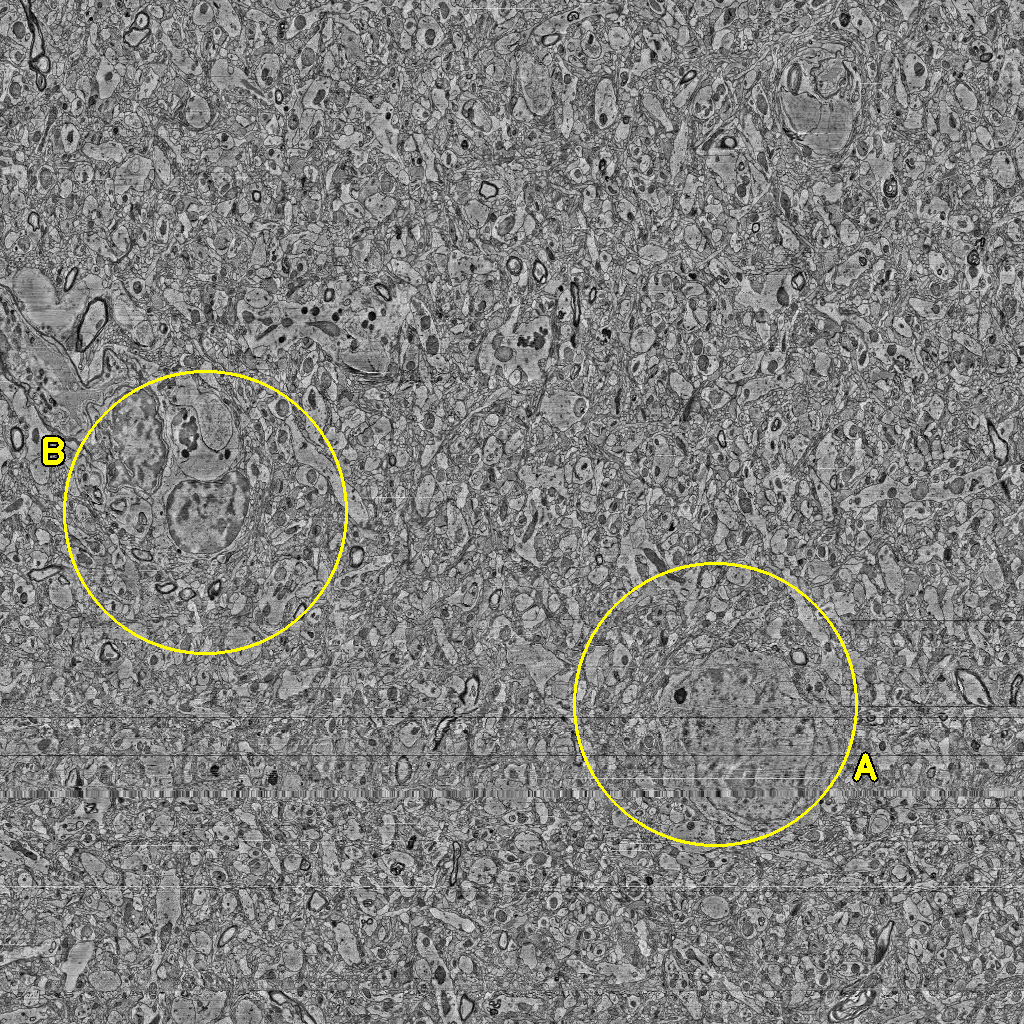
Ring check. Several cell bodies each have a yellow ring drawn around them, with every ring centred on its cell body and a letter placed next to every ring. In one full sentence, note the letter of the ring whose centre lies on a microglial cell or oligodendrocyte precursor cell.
At the centre of ring B lies the cell asked for in this check.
